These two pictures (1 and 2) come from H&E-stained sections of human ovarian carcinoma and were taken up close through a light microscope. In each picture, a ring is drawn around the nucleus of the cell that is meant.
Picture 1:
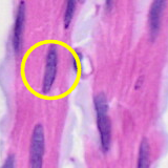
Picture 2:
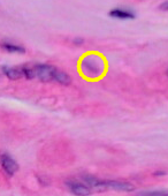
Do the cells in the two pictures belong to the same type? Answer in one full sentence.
Yes, they are the same type: both are smooth muscle cells.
